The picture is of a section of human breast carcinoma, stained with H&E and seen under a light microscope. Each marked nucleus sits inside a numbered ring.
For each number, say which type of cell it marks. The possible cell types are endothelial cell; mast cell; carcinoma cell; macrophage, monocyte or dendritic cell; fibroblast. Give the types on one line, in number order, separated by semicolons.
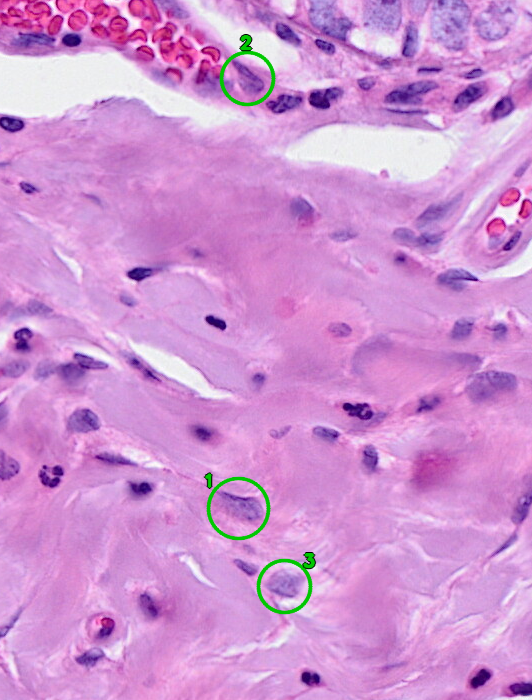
fibroblast; endothelial cell; fibroblast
